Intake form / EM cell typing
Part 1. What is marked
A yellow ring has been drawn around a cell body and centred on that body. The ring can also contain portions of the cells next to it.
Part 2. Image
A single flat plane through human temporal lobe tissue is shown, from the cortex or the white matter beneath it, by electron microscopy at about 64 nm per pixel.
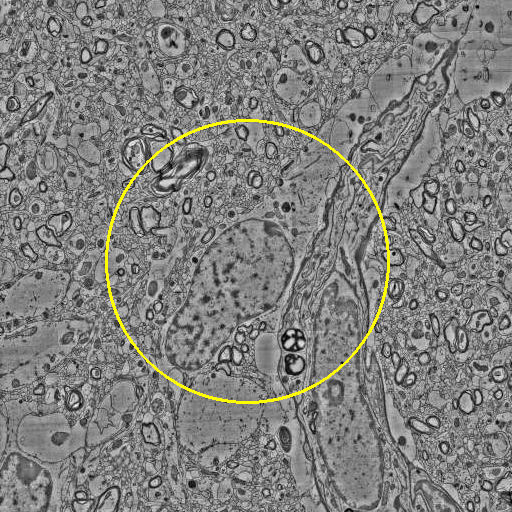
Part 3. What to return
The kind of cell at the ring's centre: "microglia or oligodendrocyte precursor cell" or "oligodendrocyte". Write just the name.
microglia or oligodendrocyte precursor cell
